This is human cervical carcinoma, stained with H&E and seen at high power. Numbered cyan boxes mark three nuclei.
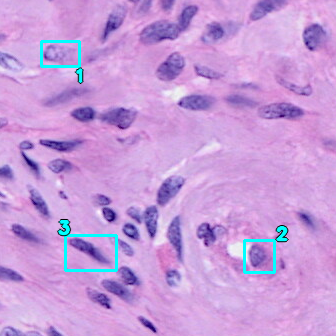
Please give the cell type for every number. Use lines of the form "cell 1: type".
cell 1: fibroblast
cell 2: endothelial cell
cell 3: fibroblast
